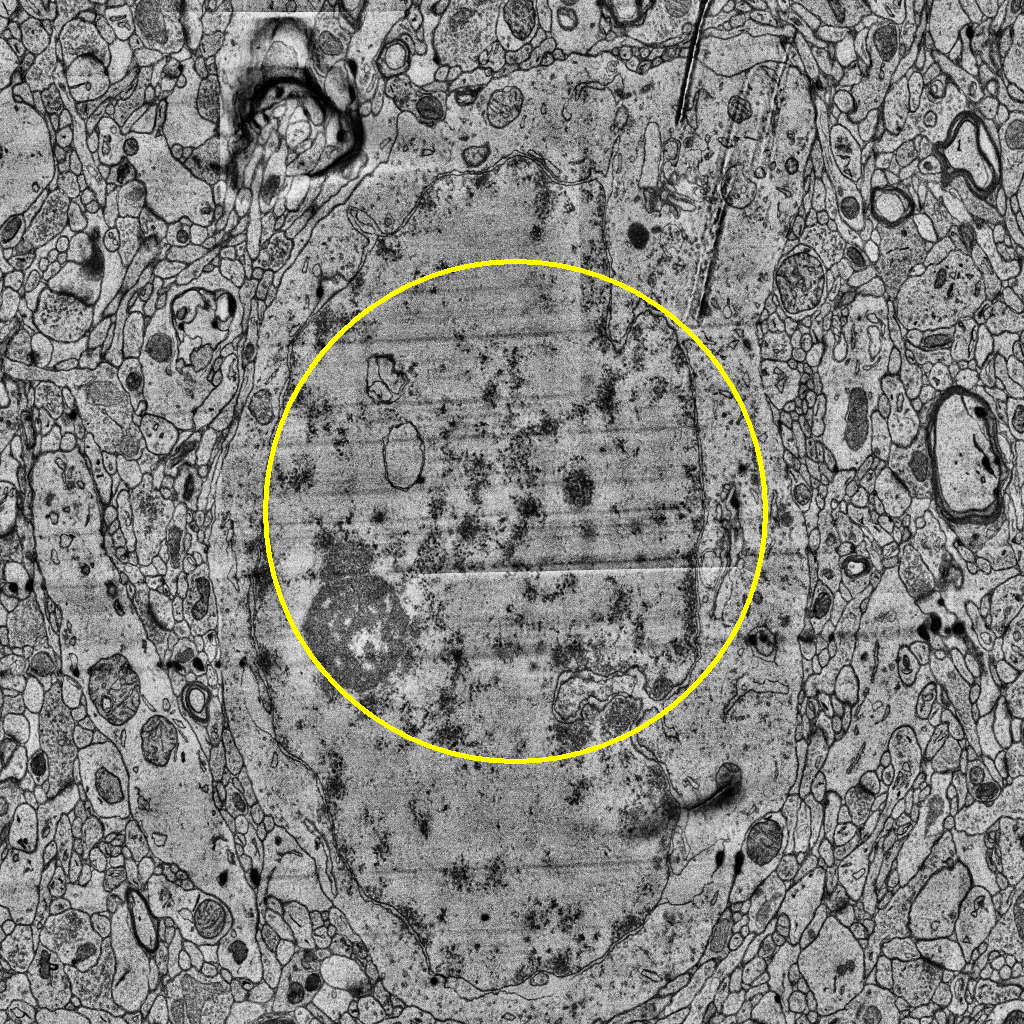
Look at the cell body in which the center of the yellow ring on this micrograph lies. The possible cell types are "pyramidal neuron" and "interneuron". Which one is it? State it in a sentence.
The cell at the middle of the ring is an interneuron.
